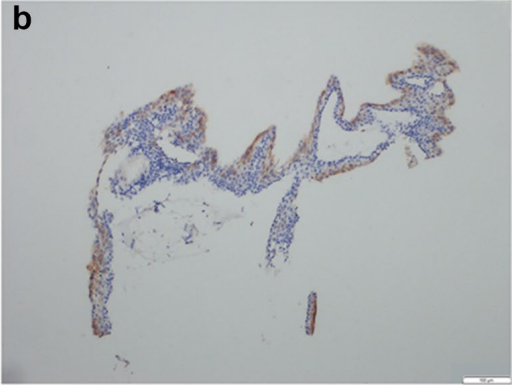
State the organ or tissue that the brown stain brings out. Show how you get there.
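Brown stain lies along the outer surface of folded cellular tissue. Underlying cells with blue nuclei are largely unstained. The answer: epithelium.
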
